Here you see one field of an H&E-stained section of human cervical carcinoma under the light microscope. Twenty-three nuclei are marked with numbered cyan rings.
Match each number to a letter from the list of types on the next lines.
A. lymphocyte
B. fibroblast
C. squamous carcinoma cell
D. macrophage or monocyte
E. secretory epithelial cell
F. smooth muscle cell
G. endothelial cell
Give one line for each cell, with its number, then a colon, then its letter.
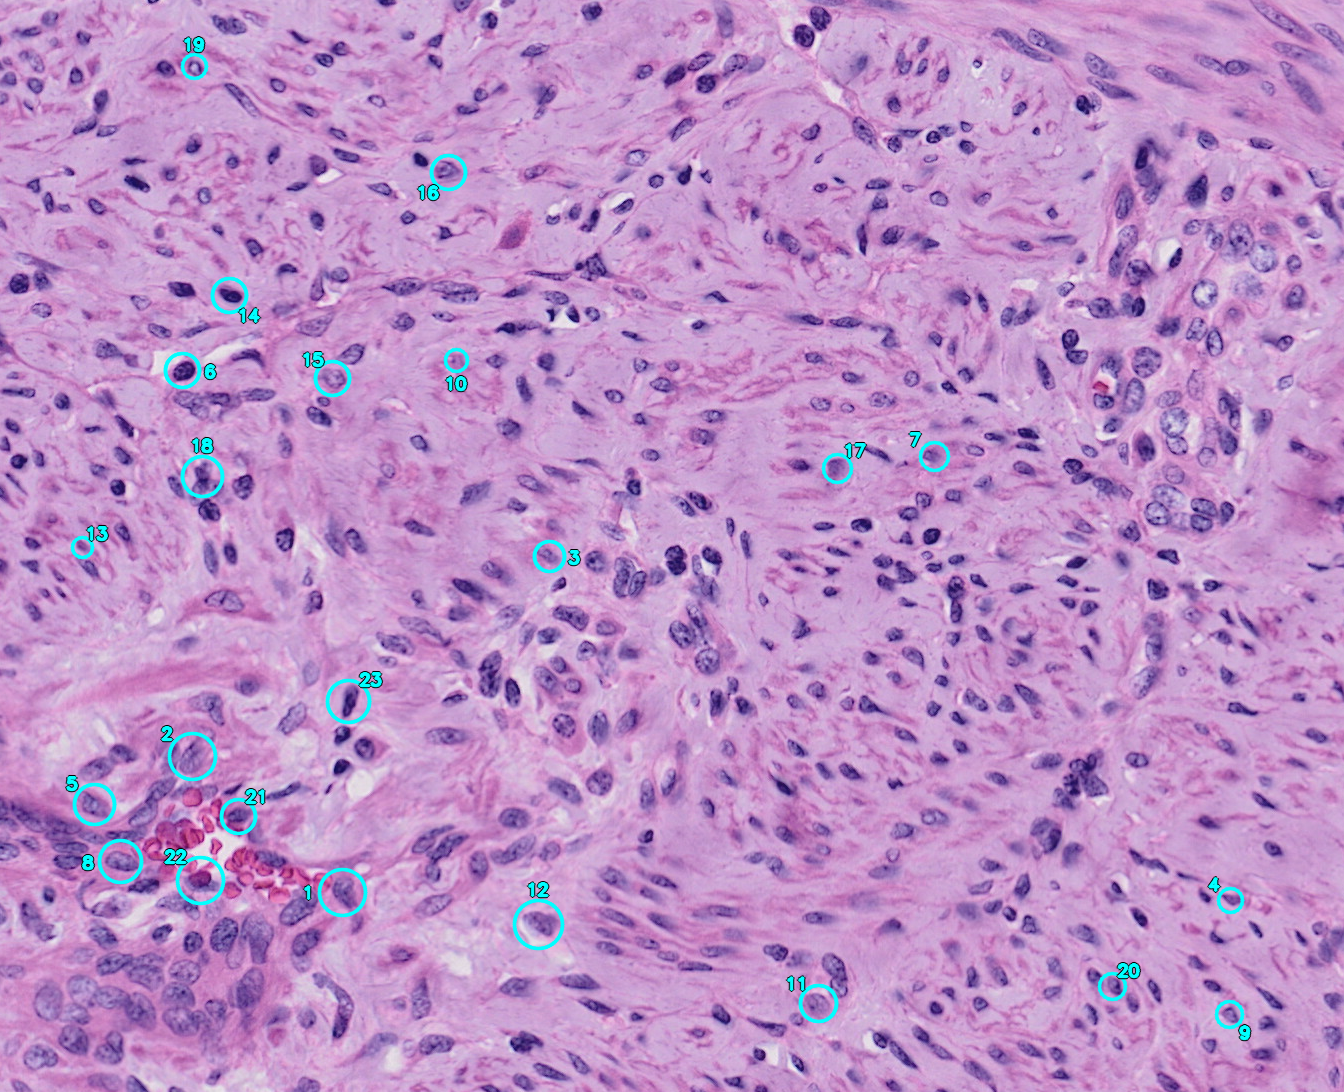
1: G
2: G
3: F
4: F
5: F
6: A
7: F
8: G
9: F
10: F
11: G
12: D
13: F
14: A
15: F
16: F
17: F
18: A
19: F
20: F
21: G
22: G
23: A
